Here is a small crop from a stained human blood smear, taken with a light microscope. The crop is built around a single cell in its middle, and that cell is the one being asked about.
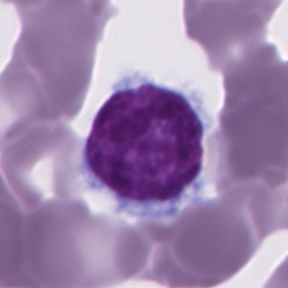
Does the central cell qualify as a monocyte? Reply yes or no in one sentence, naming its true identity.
No; rather than a monocyte, the cell at the center is a hairy cell.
